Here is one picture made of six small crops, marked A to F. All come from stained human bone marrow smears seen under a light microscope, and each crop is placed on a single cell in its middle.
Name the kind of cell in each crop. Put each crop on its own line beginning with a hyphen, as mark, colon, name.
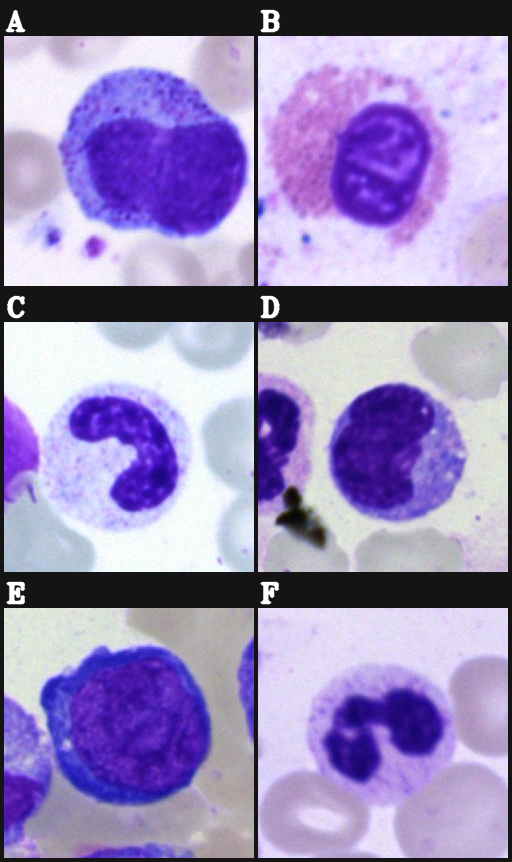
- A: promyelocyte
- B: basophil
- C: neutrophil
- D: monocyte
- E: proerythroblast
- F: neutrophil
